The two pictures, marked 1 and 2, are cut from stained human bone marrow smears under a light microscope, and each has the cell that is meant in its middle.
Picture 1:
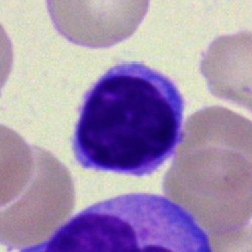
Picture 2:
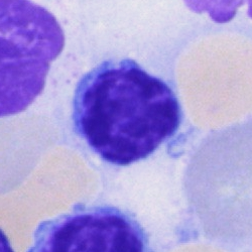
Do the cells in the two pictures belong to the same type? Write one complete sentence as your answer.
Yes, they are the same type: both are lymphocytes.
